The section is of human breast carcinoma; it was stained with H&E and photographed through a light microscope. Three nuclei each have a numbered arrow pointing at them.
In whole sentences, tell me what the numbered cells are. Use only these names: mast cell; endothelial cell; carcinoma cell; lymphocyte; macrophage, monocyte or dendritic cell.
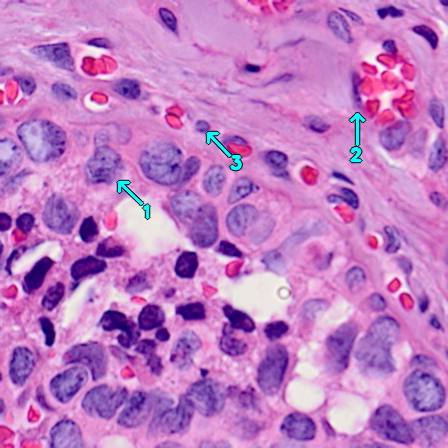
Cell 1 is a carcinoma cell, cell 2 is an endothelial cell and cell 3 is a mast cell.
